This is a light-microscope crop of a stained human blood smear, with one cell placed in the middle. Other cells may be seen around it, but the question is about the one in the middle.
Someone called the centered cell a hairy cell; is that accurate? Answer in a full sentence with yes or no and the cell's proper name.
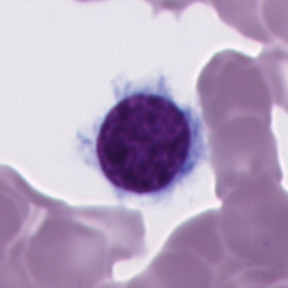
Yes, the cell that is in the middle is a hairy cell.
